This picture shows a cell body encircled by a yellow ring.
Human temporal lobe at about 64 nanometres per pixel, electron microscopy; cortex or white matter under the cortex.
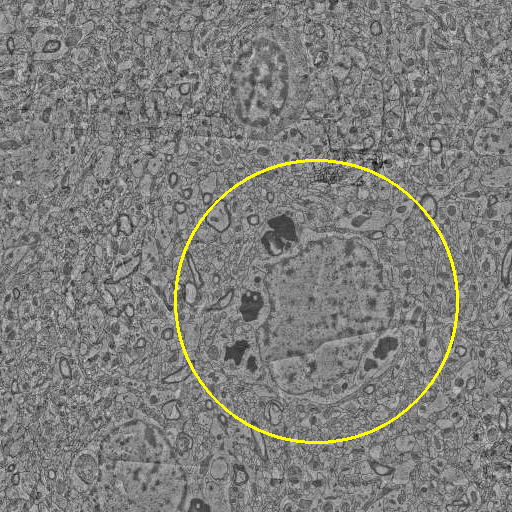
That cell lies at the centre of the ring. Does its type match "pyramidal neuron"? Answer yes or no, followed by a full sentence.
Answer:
No, in the picture, the ring surrounds a cell of another type at its centre.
